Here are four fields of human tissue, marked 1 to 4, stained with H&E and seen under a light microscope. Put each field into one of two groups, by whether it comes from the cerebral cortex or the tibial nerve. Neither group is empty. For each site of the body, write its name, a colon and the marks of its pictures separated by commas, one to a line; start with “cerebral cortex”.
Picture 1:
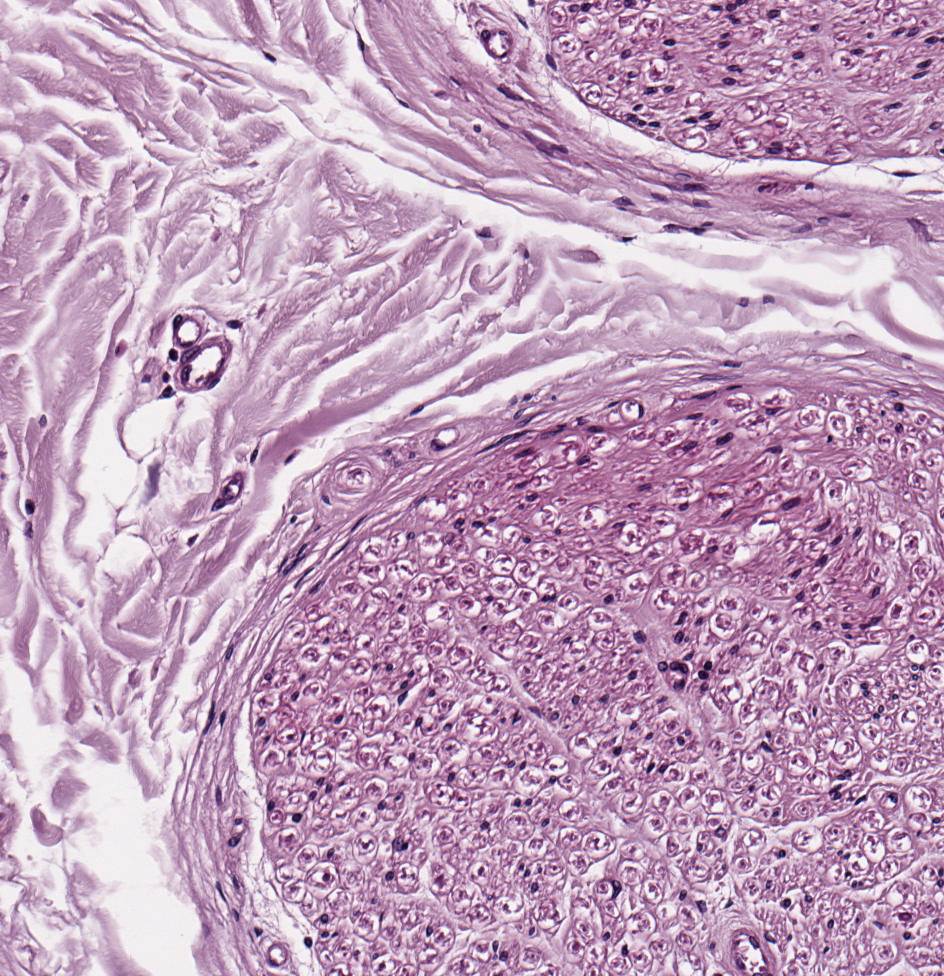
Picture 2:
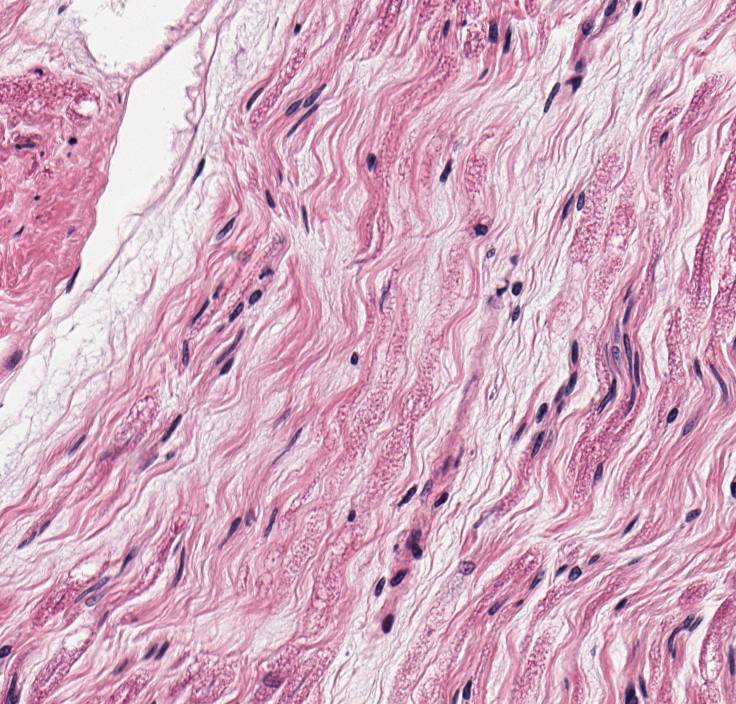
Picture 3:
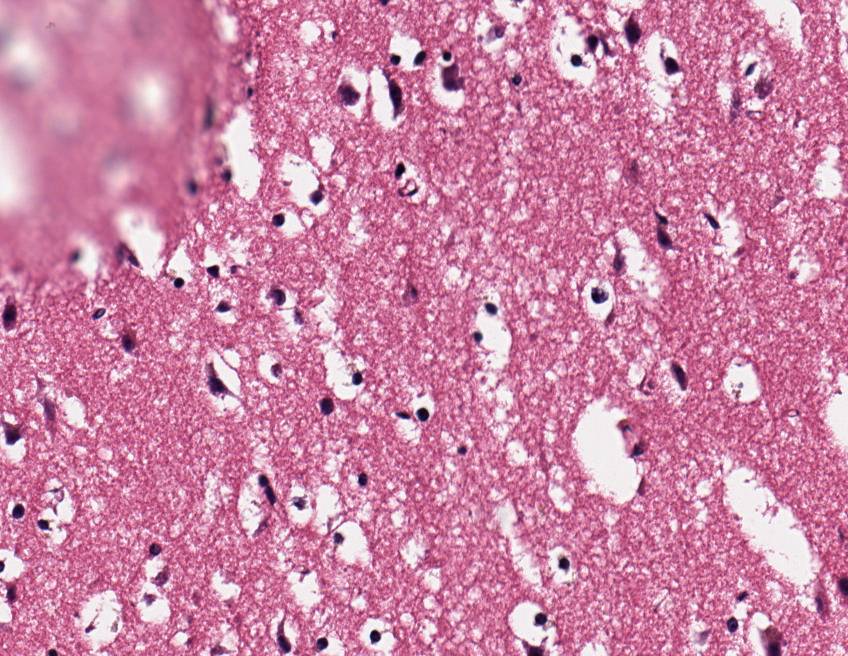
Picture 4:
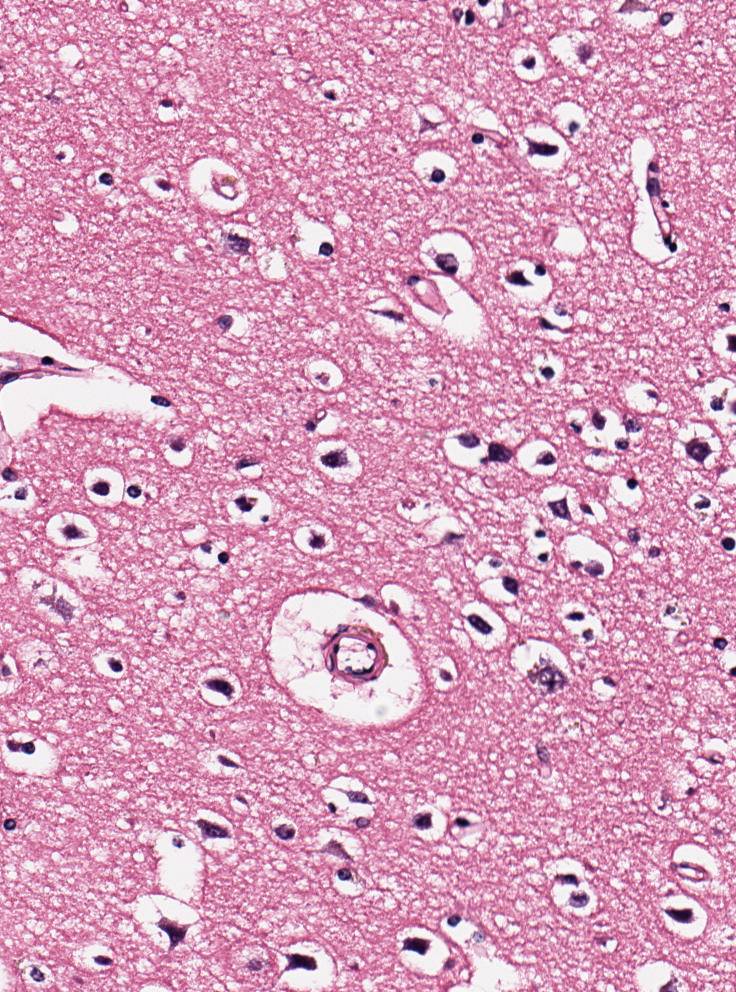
cerebral cortex: 3, 4
tibial nerve: 1, 2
